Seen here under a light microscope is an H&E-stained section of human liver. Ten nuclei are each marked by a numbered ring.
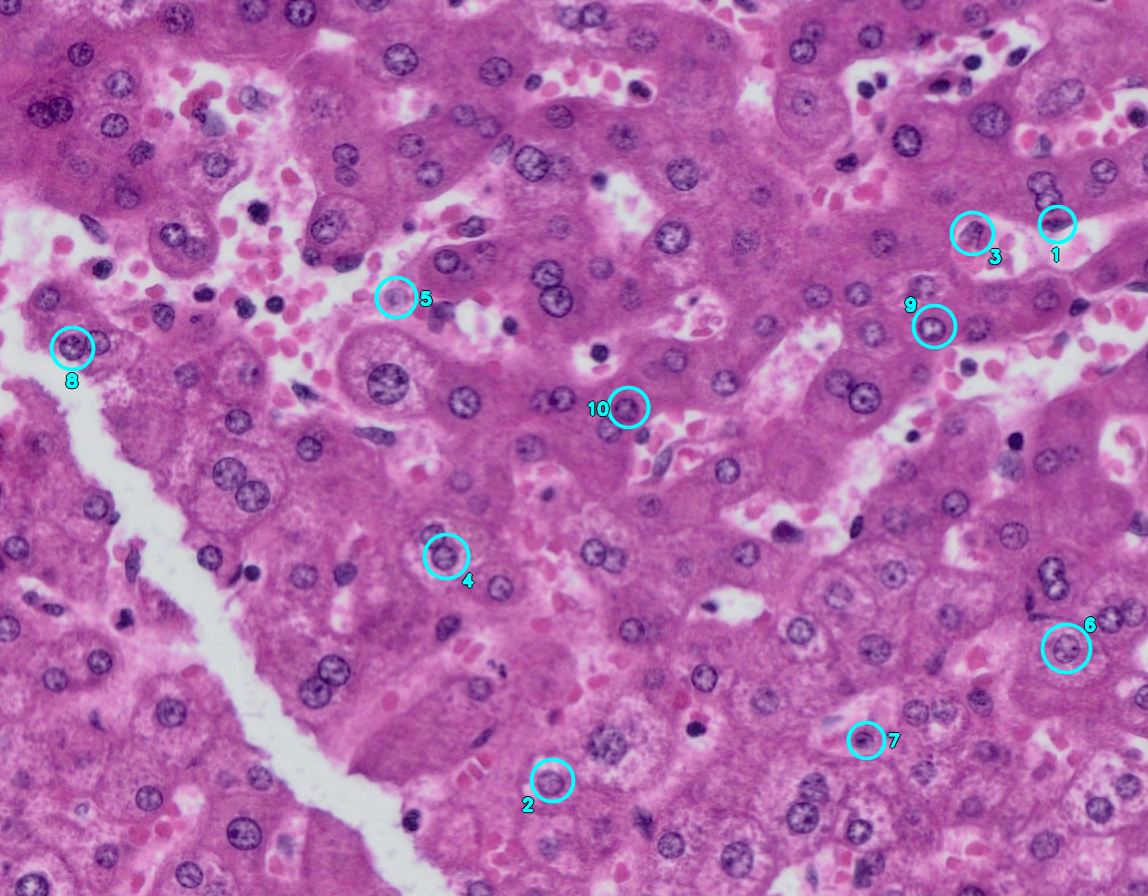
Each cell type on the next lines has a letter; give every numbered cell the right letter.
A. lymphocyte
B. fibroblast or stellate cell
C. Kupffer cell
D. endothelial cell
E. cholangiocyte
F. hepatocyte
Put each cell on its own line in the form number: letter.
1: B
2: F
3: C
4: F
5: C
6: F
7: C
8: F
9: F
10: F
